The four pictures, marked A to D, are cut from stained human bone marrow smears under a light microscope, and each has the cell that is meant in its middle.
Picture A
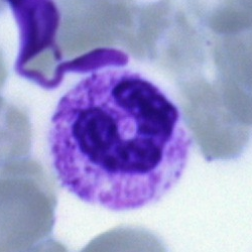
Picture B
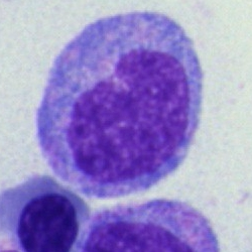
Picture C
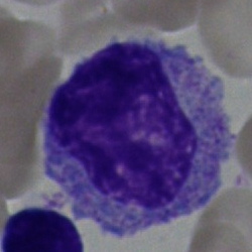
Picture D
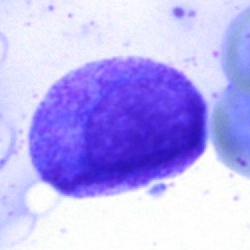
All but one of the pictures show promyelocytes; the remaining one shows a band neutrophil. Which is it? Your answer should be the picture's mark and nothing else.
A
